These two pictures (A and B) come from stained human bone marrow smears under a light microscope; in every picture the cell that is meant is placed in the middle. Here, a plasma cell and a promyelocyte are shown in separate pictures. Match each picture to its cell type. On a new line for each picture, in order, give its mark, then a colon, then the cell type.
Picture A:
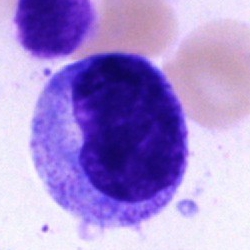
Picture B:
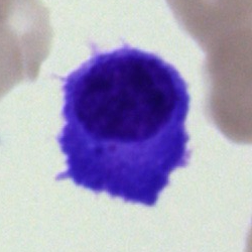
A: promyelocyte
B: plasma cell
